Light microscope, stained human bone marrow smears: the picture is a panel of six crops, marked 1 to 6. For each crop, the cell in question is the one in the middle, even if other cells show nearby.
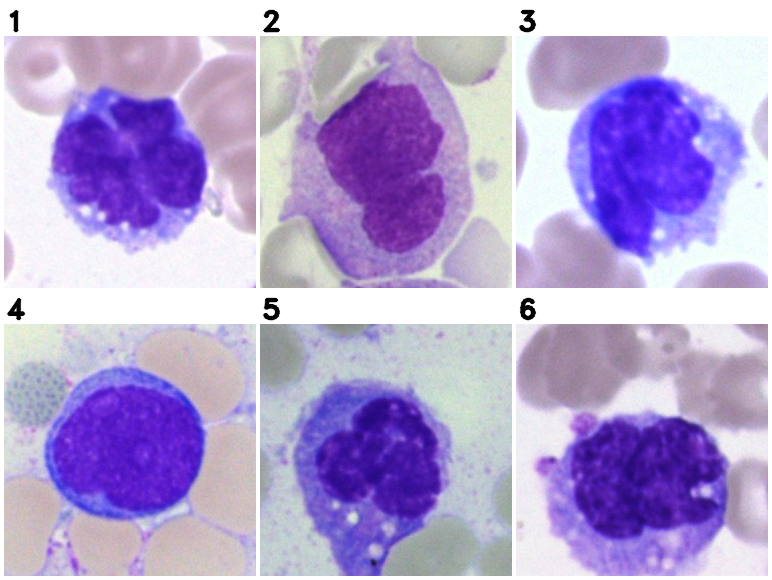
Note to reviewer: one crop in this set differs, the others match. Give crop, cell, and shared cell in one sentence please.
Crop 4 is the only crop with a blast, the others all showing monocytes.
